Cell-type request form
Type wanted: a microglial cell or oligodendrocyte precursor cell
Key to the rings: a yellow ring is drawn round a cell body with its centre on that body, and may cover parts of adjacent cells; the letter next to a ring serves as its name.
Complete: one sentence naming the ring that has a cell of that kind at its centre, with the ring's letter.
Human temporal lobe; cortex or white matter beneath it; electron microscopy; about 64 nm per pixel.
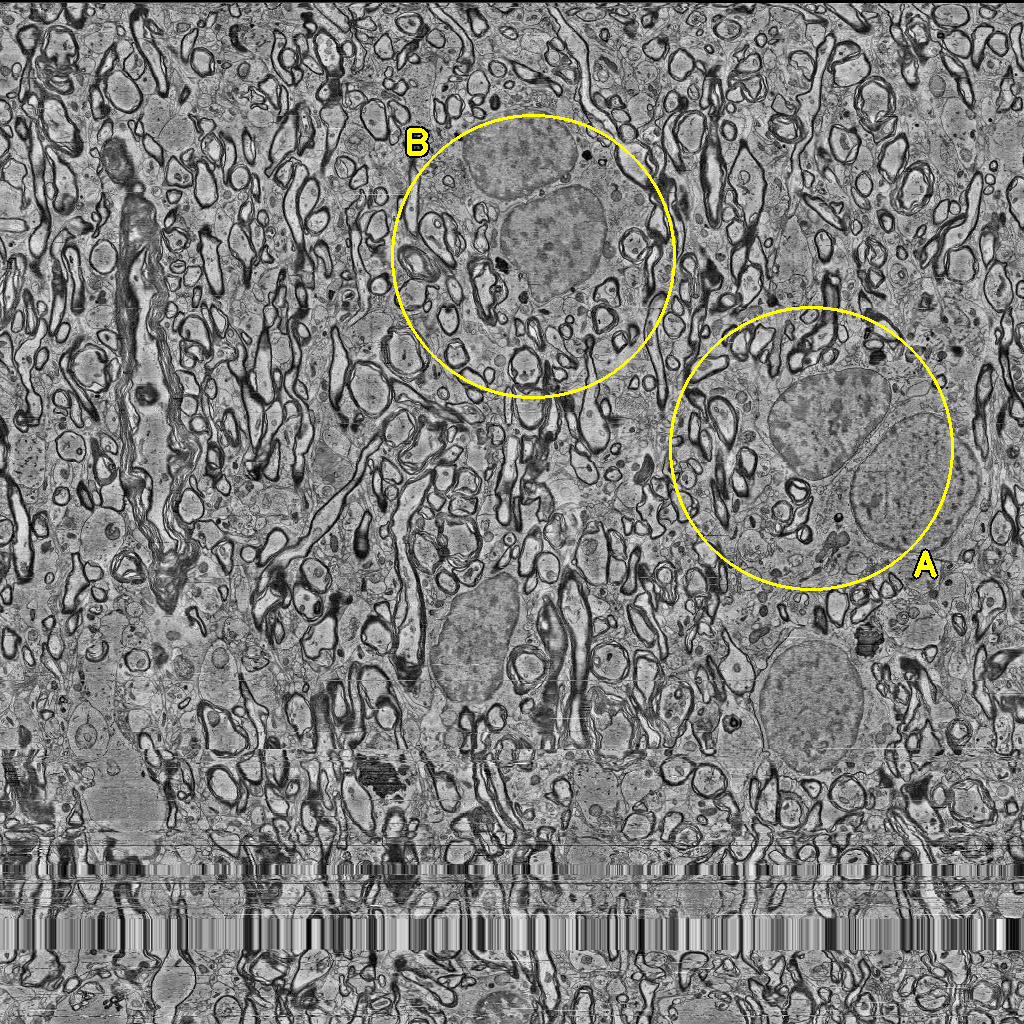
A cell of that kind sits at the centre of the ring labelled A.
